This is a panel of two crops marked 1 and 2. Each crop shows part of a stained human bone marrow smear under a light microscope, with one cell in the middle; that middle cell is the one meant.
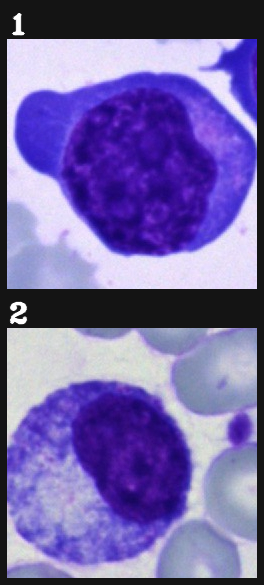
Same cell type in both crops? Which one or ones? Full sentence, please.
No, a blast is the cell in crop 1; a promyelocyte is the cell in crop 2.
